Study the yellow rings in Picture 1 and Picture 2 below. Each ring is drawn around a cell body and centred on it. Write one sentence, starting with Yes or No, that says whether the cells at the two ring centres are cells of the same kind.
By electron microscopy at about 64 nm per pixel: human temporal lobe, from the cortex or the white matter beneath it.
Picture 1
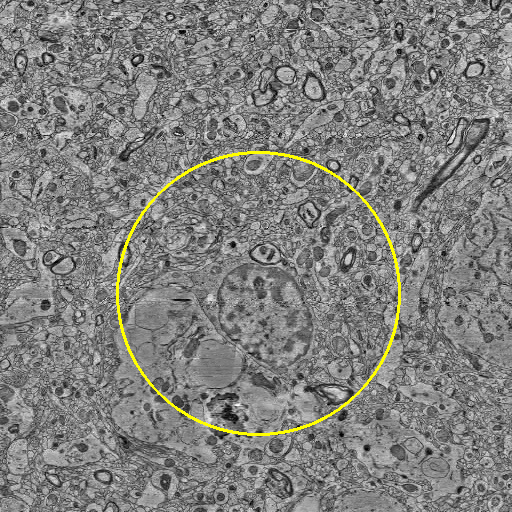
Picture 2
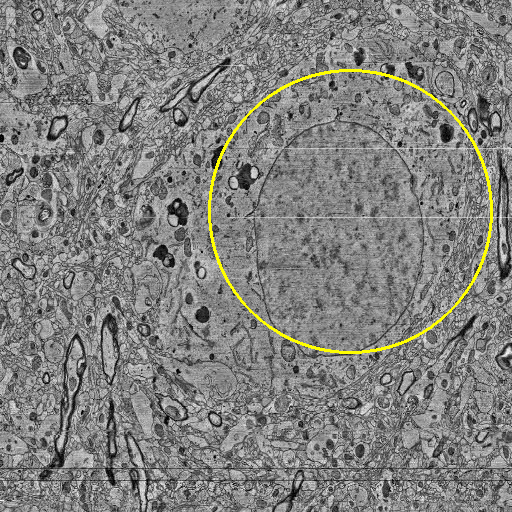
No, the cells at the ring centres are of two kinds.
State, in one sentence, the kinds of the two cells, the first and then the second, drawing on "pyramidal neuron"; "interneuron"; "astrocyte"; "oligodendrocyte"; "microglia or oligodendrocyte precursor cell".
The ring in the second picture is centred on a pyramidal neuron, the ring in the first on an oligodendrocyte.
